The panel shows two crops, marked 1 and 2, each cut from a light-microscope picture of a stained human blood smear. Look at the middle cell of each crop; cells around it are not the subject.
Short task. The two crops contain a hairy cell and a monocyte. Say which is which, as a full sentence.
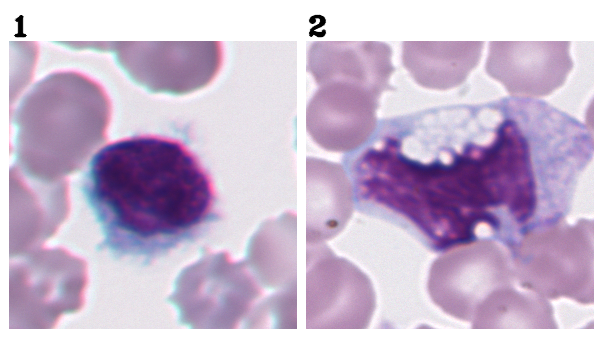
Represented in crop 1 is a hairy cell; represented in crop 2 is a monocyte.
